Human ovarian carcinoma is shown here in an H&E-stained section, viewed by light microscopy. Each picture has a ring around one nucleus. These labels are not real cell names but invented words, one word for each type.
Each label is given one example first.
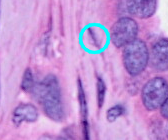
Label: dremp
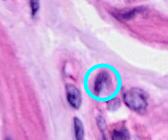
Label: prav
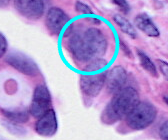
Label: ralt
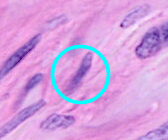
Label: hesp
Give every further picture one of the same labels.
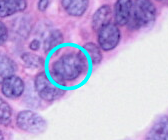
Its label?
ralt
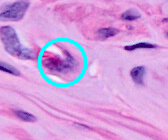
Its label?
prav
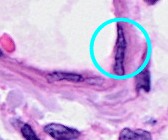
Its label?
prav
